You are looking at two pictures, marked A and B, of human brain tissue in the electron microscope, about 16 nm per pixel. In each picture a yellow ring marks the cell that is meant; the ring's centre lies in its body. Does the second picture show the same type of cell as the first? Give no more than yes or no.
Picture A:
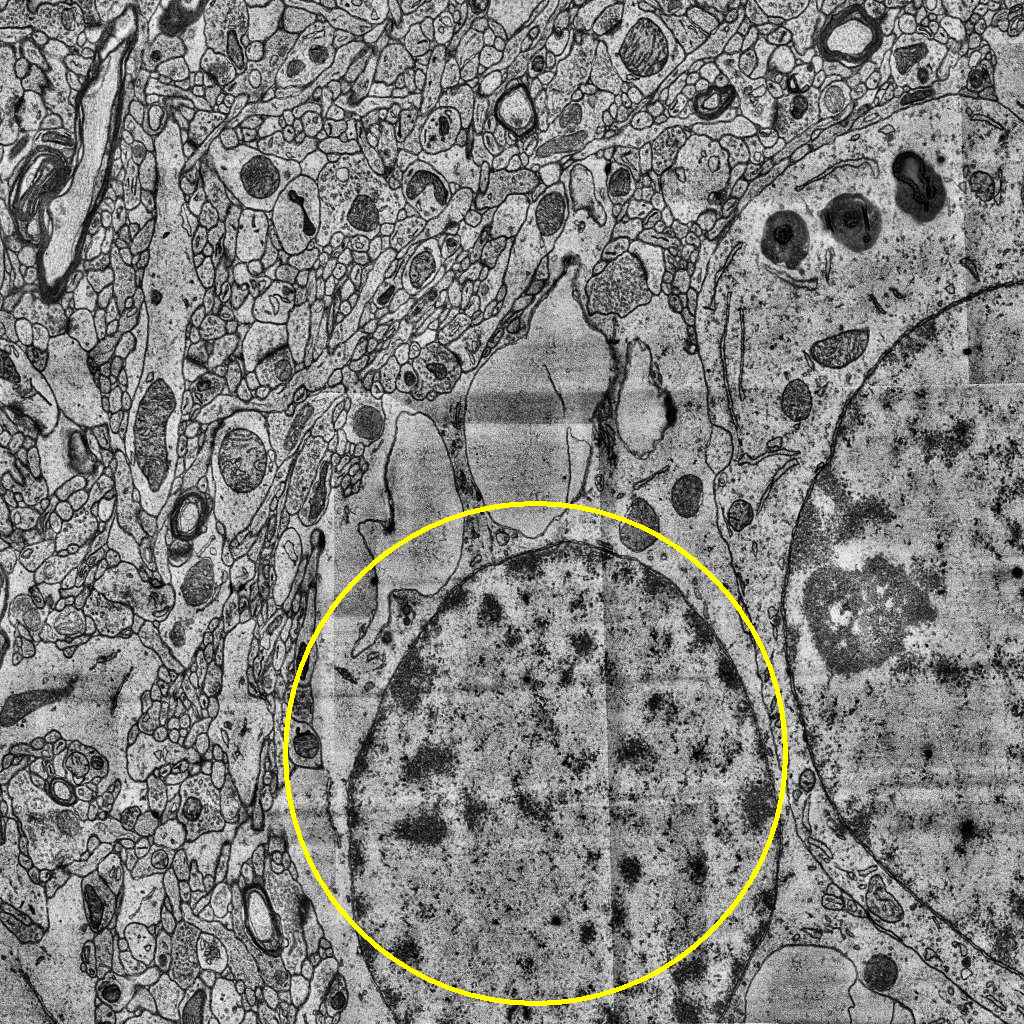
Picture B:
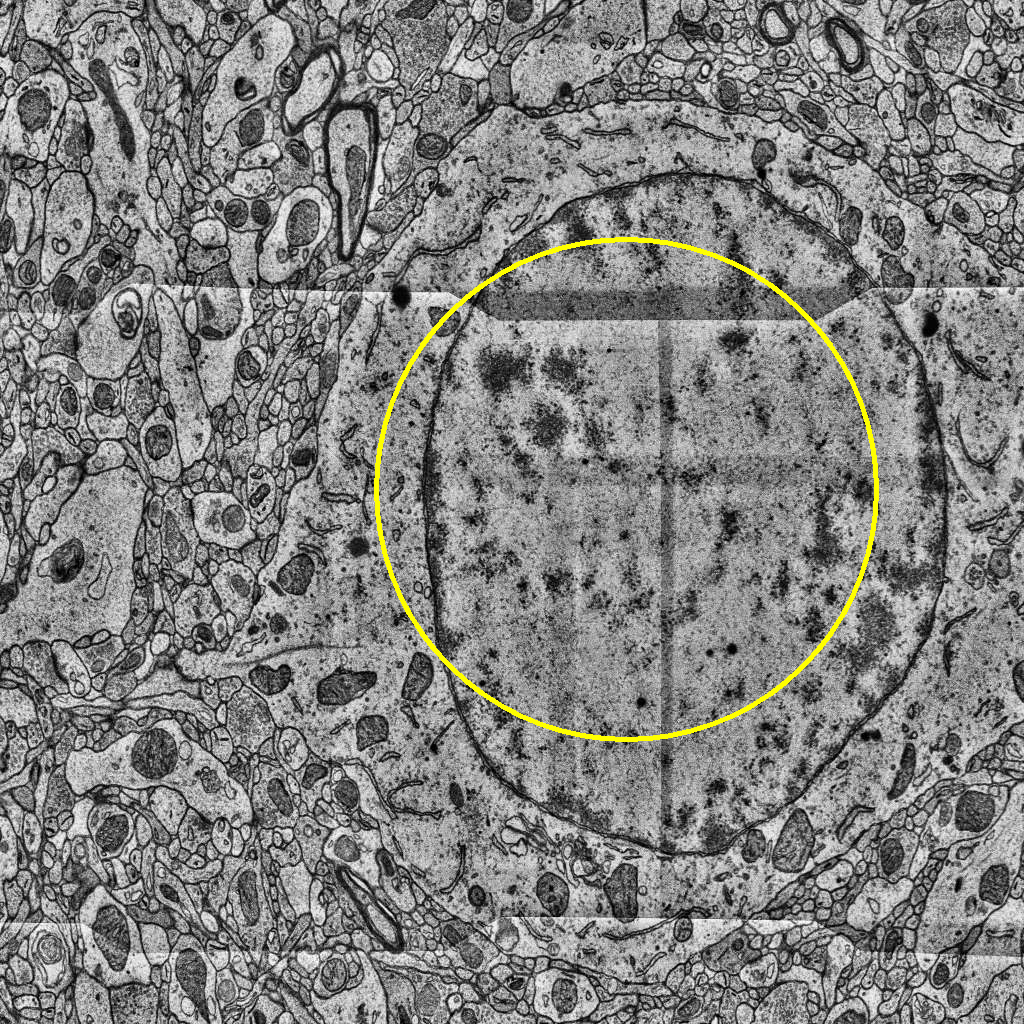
no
